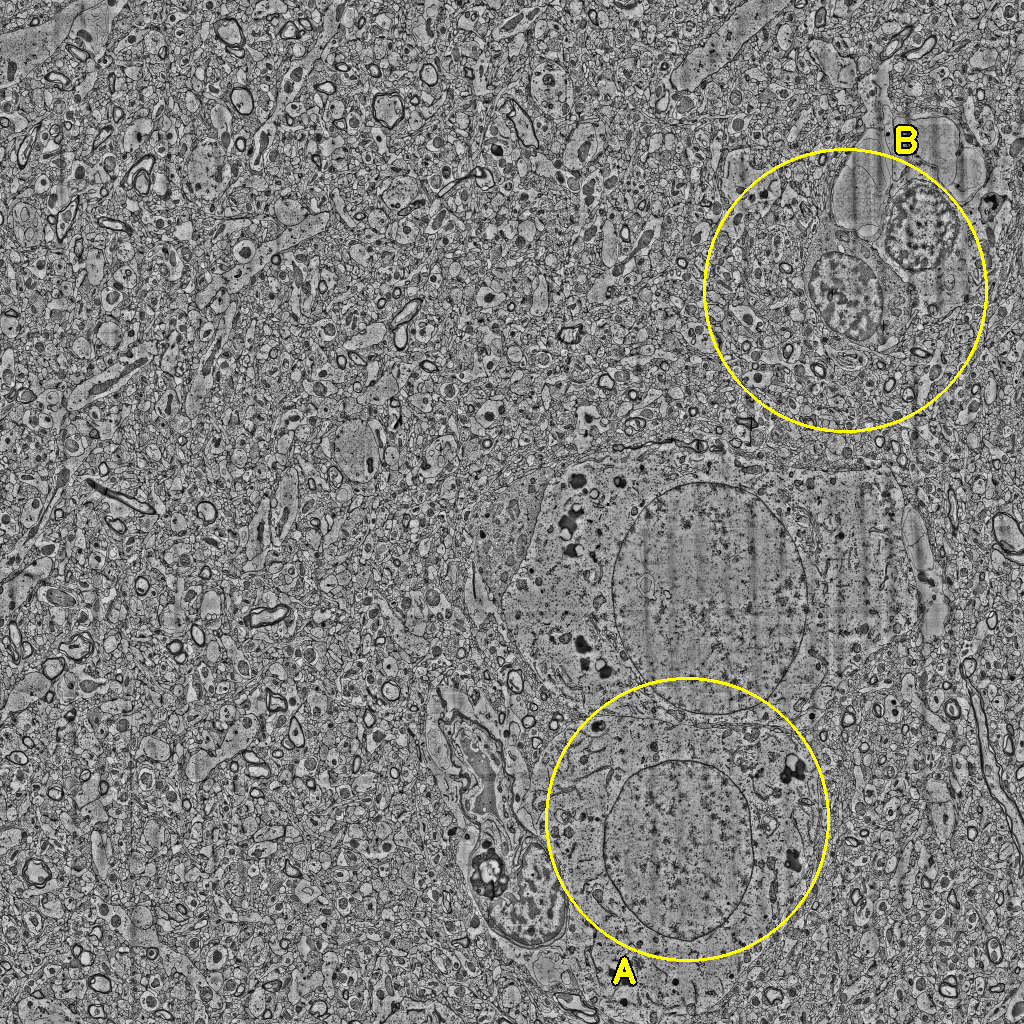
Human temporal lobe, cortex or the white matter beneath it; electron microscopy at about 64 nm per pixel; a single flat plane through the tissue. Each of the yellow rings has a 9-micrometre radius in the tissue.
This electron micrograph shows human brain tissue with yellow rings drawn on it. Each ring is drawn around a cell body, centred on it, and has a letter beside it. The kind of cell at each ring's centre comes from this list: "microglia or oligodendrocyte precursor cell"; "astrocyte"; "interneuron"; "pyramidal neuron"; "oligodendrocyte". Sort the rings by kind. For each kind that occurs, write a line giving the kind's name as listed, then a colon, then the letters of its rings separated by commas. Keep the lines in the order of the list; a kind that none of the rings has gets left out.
pyramidal neuron: A
oligodendrocyte: B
